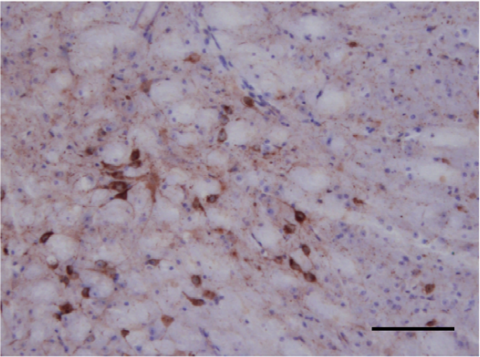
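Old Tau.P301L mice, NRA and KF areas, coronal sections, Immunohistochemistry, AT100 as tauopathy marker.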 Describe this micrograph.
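This is brainstem tissue in which scattered neurons are filled with brown stain. Their cell bodies are angular or spindle-shaped and send out tapering brown processes, lying between many pale round profiles of cut fibre bundles. Small blue nuclei of unstained cells are dotted throughout the background.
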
